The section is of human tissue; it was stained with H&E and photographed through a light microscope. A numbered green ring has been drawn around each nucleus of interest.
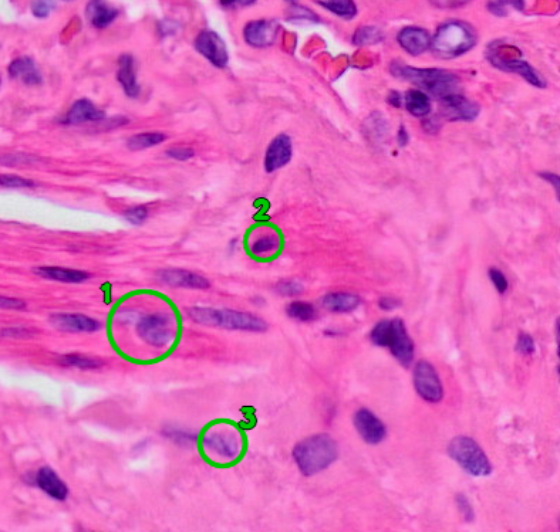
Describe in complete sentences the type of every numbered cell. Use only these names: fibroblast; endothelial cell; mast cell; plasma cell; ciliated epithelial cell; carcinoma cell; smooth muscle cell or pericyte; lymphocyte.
Cell 1 is a smooth muscle cell or pericyte, cell 2 is a smooth muscle cell or pericyte and cell 3 is a fibroblast.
